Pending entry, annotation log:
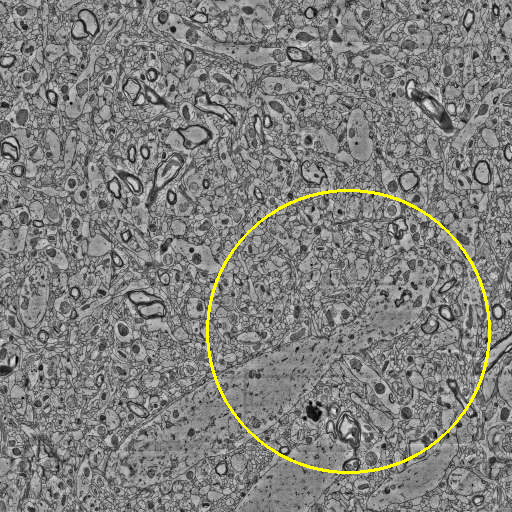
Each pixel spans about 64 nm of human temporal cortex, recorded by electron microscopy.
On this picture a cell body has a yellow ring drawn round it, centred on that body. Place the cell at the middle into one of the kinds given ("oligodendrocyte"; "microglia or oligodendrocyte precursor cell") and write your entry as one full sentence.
The cell body at the middle of the yellow ring belongs to an oligodendrocyte.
